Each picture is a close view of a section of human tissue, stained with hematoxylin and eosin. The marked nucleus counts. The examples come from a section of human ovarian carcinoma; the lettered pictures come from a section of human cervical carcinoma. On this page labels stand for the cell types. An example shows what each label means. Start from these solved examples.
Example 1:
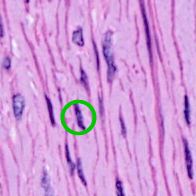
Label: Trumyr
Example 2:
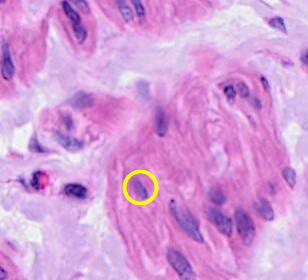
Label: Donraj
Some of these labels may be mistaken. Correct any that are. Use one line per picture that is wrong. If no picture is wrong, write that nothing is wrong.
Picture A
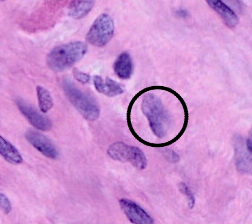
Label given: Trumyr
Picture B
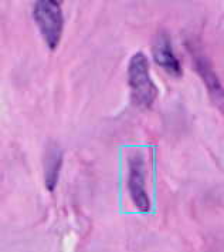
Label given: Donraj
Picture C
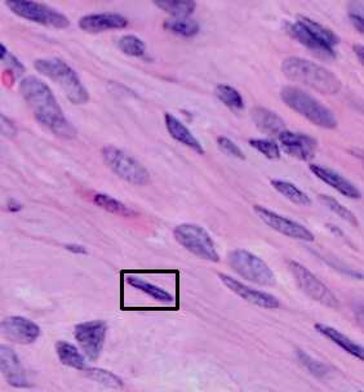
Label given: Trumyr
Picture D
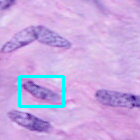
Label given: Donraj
B: not Donraj but Trumyr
